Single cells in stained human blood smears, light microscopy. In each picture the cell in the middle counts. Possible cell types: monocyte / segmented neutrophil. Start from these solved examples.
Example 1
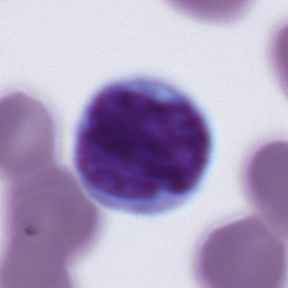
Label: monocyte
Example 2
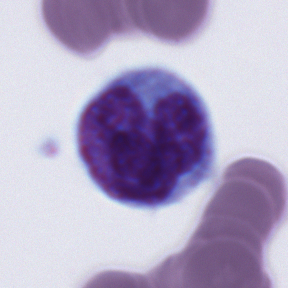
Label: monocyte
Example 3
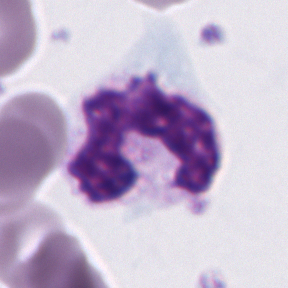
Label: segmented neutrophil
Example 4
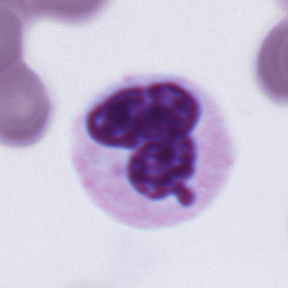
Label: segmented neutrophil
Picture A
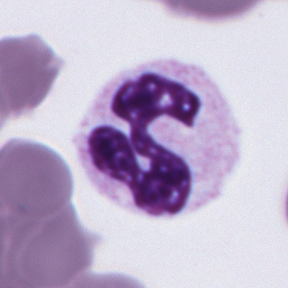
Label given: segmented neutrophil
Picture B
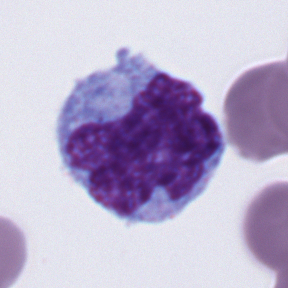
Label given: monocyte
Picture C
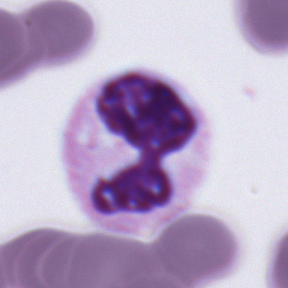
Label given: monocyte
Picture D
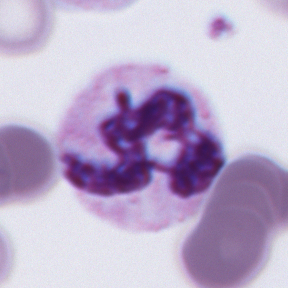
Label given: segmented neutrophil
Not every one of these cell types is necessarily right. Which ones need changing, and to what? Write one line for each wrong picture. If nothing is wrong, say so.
Wrong: C (monocyte); correct: segmented neutrophil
